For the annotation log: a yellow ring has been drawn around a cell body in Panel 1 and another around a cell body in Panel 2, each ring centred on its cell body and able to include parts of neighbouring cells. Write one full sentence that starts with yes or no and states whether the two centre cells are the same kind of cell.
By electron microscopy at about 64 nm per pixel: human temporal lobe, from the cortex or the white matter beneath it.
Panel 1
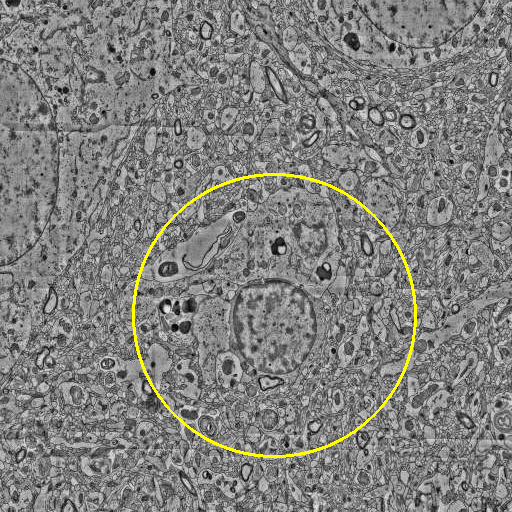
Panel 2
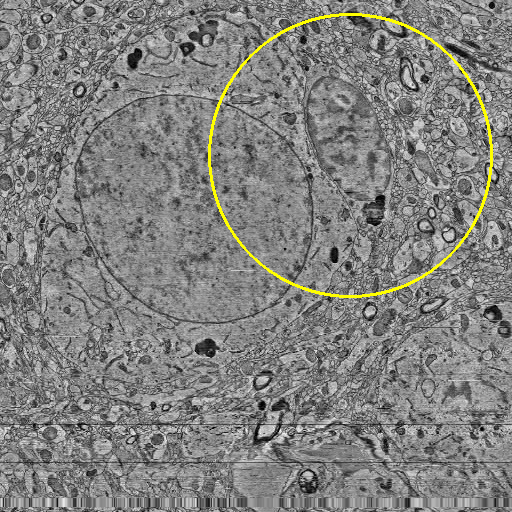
Yes, the two centre cells are the same kind of cell.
